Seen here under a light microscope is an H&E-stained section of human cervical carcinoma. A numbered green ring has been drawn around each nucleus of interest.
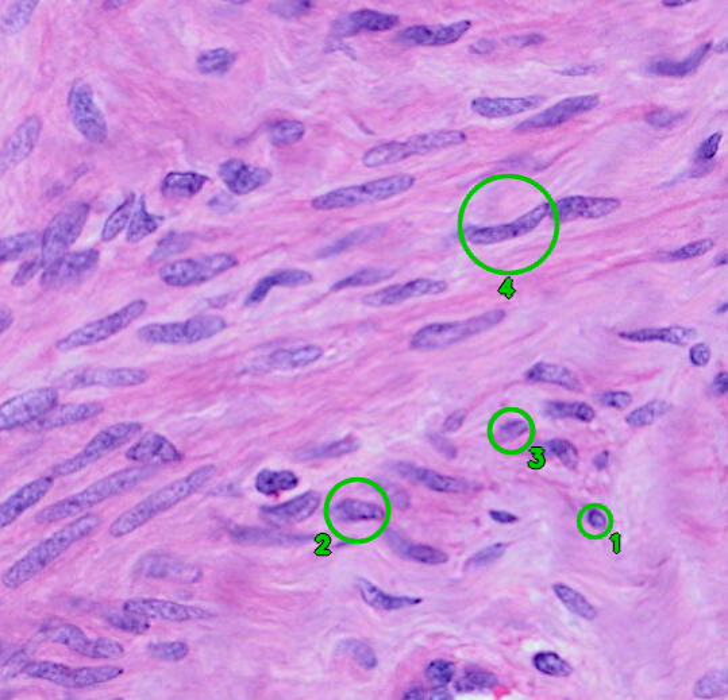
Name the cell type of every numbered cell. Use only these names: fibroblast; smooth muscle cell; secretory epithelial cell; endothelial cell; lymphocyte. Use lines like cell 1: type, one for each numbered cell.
cell 1: smooth muscle cell
cell 2: smooth muscle cell
cell 3: smooth muscle cell
cell 4: fibroblast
